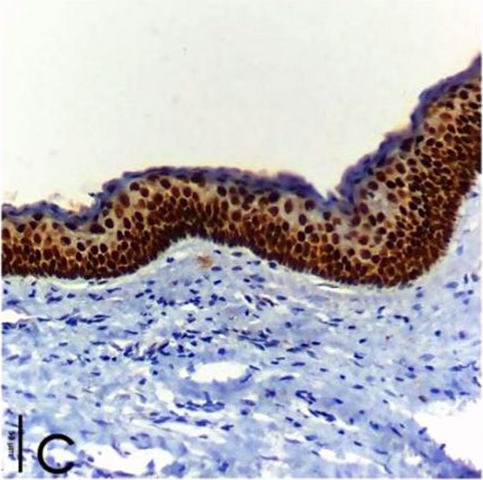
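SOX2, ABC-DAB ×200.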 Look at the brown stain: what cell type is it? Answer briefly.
Basal and para-basal cells.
